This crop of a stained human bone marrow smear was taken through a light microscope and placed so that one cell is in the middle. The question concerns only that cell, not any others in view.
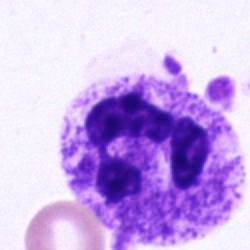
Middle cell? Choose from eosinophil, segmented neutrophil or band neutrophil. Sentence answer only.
The crop centres on a single cell, and that cell is a segmented neutrophil.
